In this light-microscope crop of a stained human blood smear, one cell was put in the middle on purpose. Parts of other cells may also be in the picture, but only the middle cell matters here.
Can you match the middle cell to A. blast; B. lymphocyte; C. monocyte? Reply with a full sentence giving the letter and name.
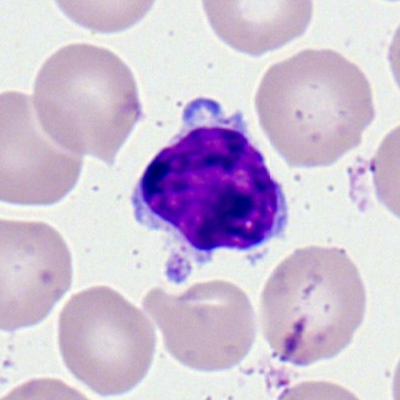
Option B is right, the centrally situated cell being a lymphocyte.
